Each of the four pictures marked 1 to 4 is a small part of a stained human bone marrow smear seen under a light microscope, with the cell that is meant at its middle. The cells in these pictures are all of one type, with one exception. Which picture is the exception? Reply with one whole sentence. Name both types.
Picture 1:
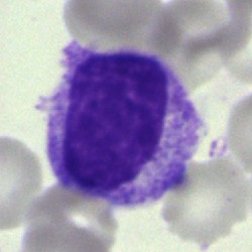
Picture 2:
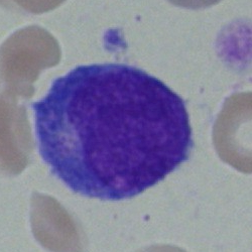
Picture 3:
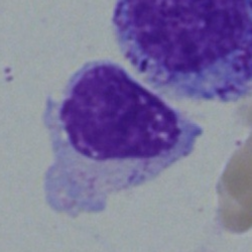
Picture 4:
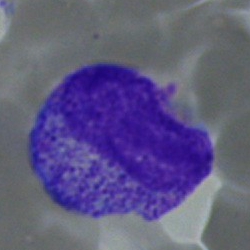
Picture 2 is the odd one out: it shows a blast, while the others show myelocytes.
